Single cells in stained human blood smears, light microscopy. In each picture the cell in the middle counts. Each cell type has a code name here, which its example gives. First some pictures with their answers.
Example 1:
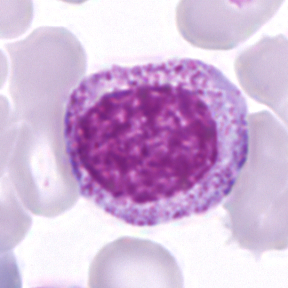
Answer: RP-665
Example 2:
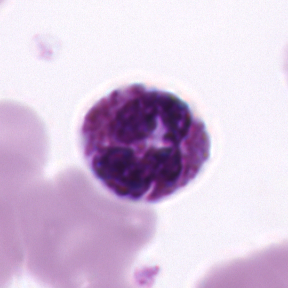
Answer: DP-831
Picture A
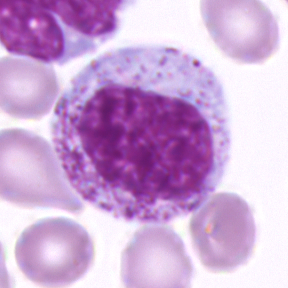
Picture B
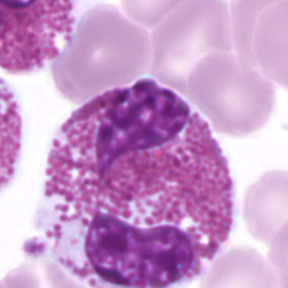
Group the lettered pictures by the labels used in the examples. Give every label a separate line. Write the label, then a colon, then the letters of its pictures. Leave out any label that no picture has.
RP-665: A
DP-831: B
